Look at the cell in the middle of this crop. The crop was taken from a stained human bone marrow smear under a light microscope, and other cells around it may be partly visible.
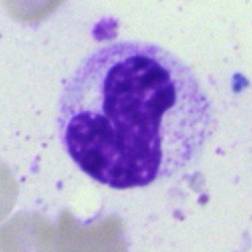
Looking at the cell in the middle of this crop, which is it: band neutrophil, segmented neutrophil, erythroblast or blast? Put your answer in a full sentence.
What the crop centres on is a band neutrophil.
